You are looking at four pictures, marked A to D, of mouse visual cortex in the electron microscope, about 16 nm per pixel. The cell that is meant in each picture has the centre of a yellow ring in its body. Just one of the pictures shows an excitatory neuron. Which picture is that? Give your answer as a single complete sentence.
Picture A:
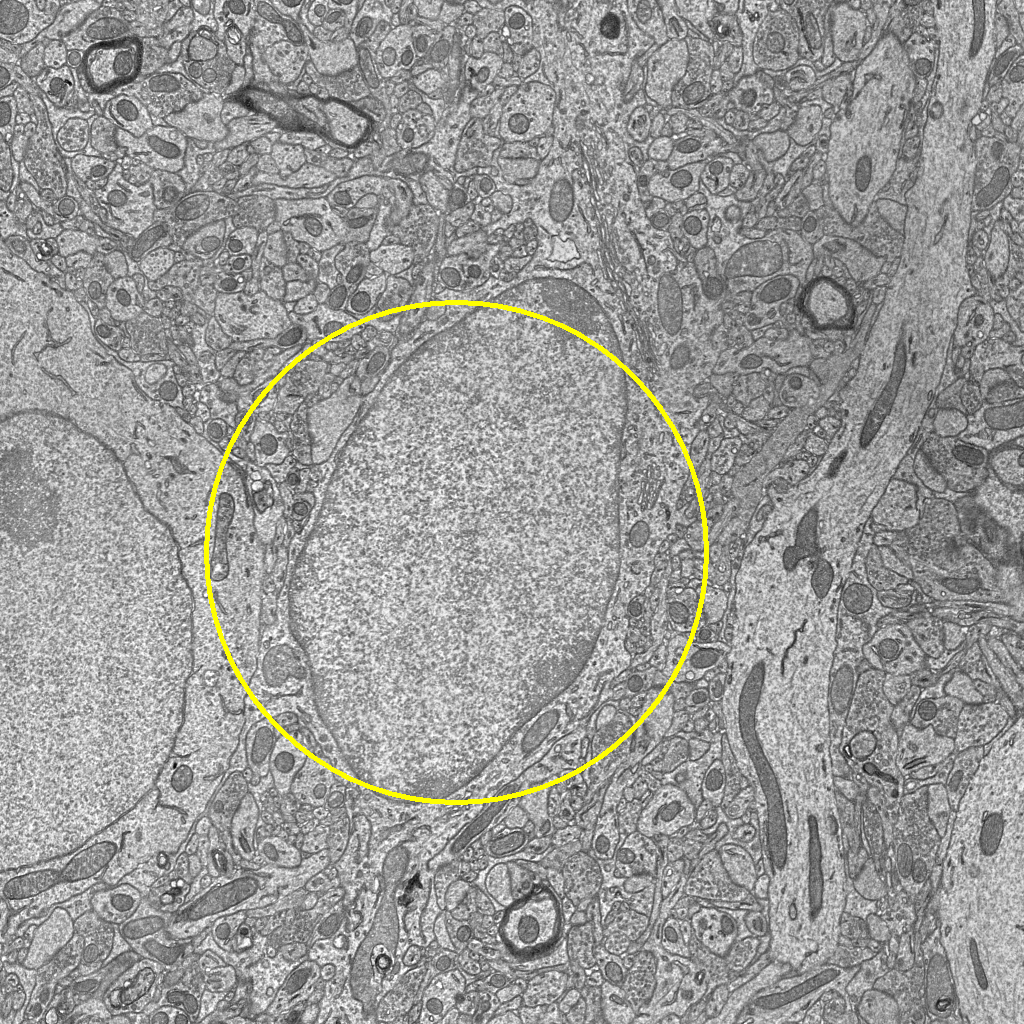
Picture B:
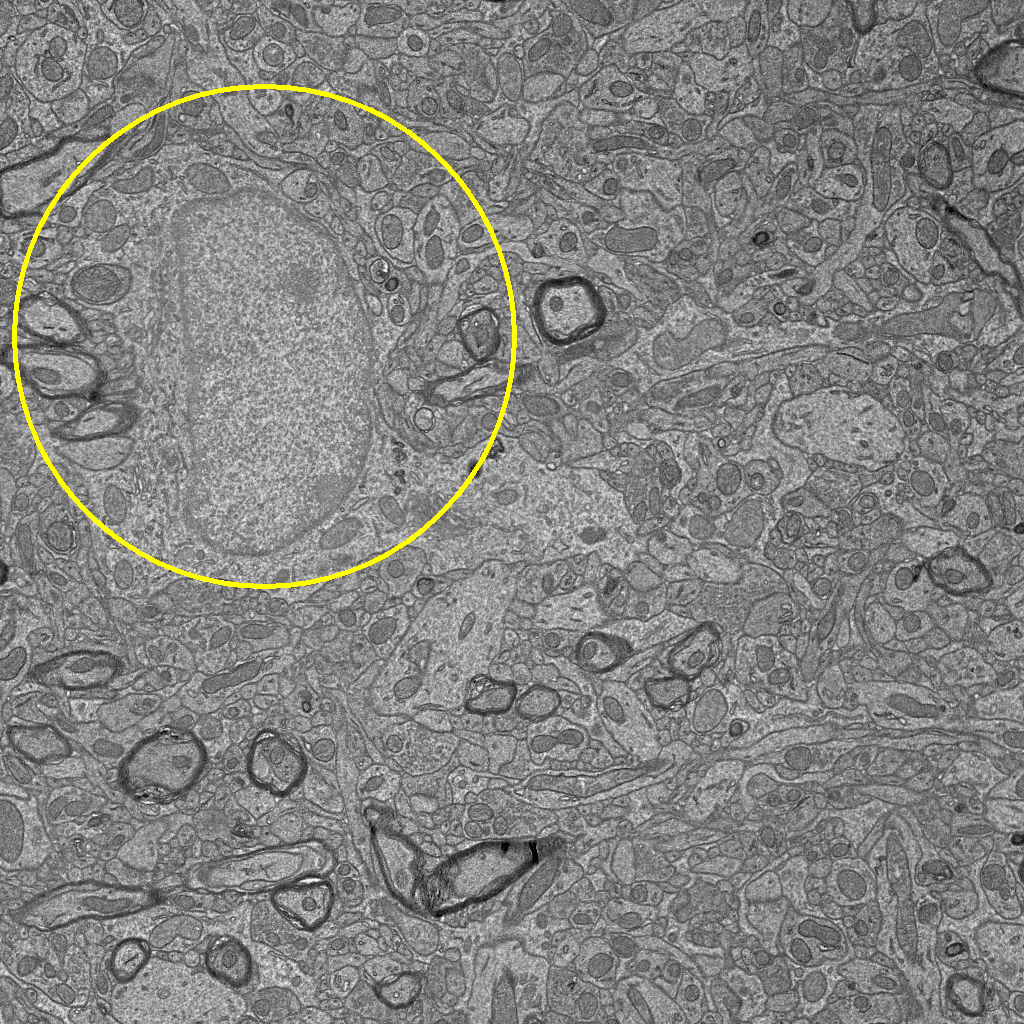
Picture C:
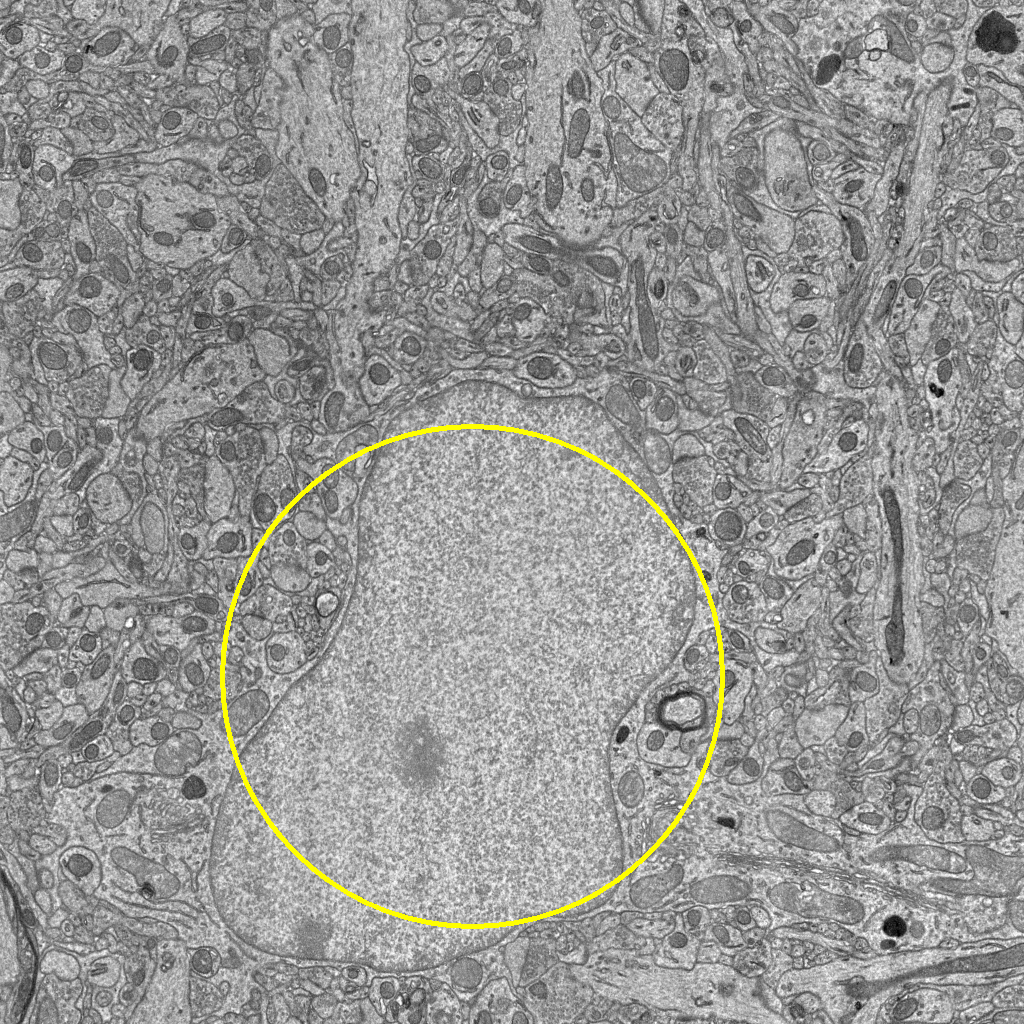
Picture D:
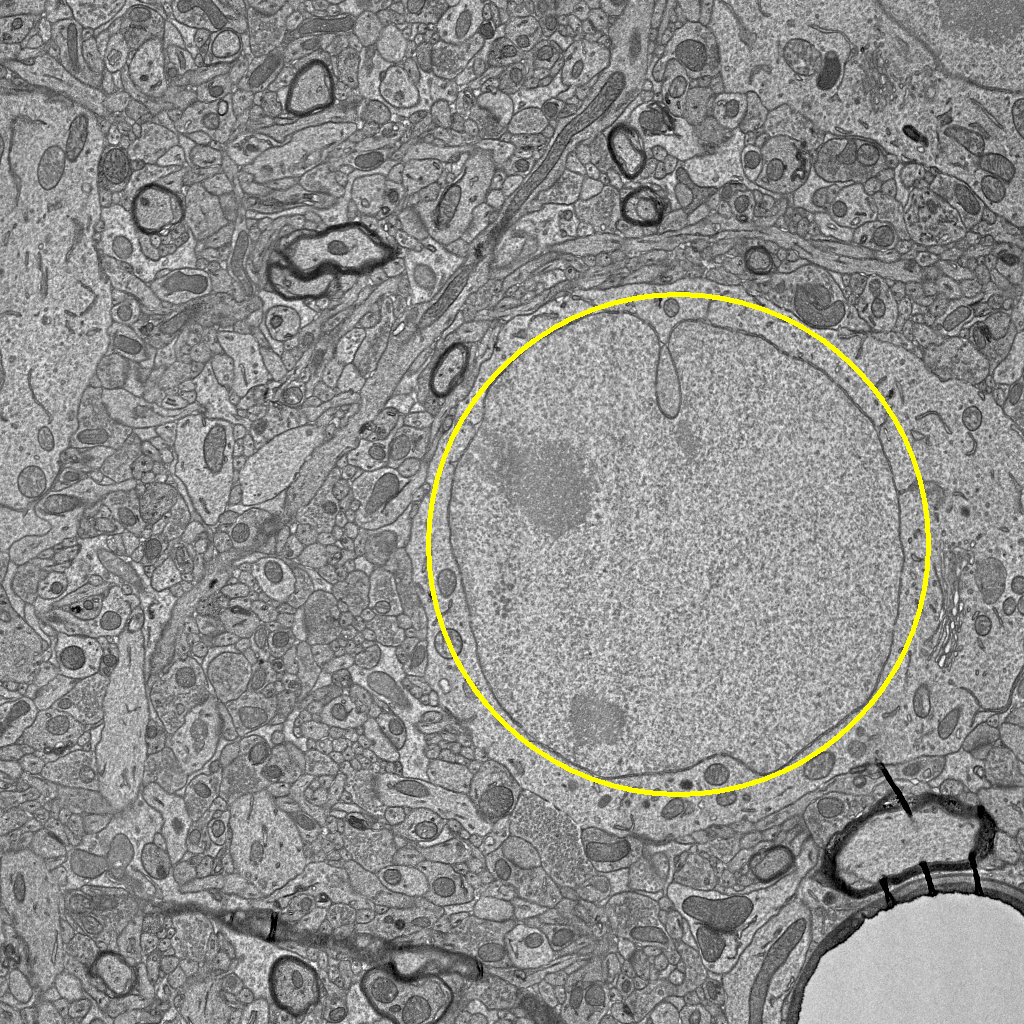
The excitatory neuron is the one in picture D.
